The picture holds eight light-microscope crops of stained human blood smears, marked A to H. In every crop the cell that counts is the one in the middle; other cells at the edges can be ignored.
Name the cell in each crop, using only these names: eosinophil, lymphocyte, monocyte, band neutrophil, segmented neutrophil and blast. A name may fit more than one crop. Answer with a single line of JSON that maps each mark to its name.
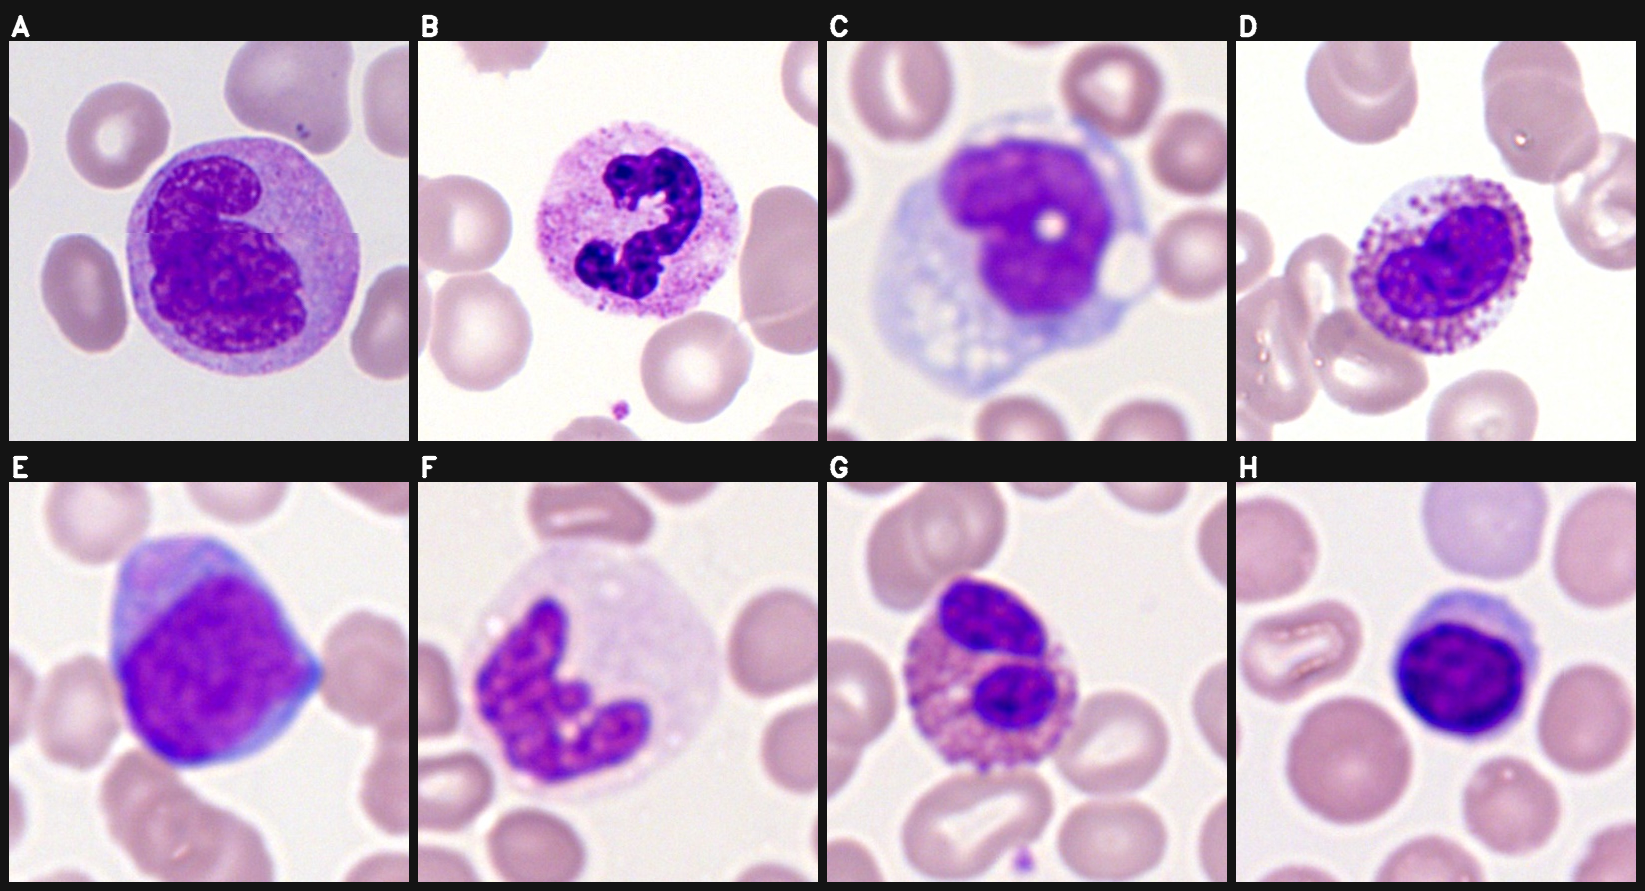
{"A": "monocyte", "B": "segmented neutrophil", "C": "monocyte", "D": "eosinophil", "E": "blast", "F": "segmented neutrophil", "G": "eosinophil", "H": "lymphocyte"}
